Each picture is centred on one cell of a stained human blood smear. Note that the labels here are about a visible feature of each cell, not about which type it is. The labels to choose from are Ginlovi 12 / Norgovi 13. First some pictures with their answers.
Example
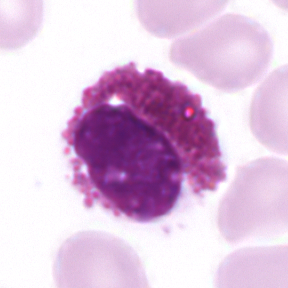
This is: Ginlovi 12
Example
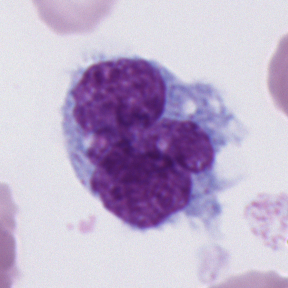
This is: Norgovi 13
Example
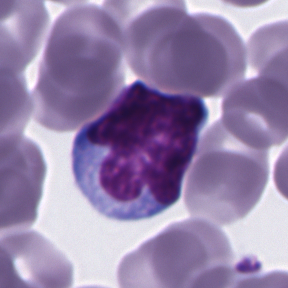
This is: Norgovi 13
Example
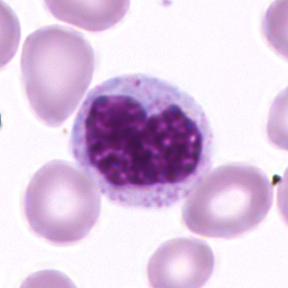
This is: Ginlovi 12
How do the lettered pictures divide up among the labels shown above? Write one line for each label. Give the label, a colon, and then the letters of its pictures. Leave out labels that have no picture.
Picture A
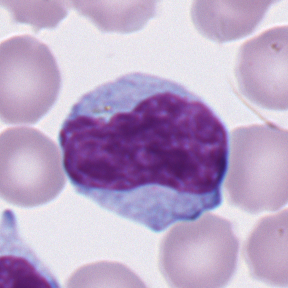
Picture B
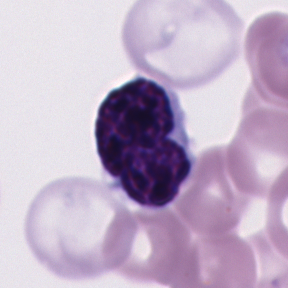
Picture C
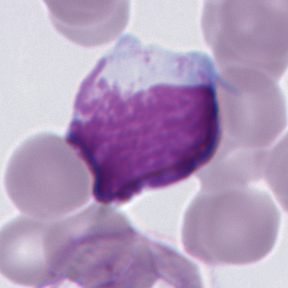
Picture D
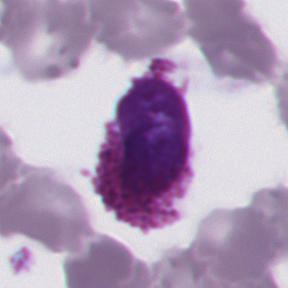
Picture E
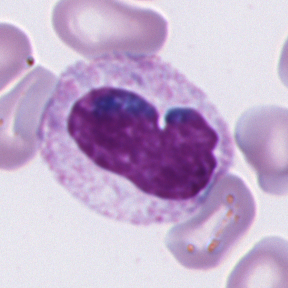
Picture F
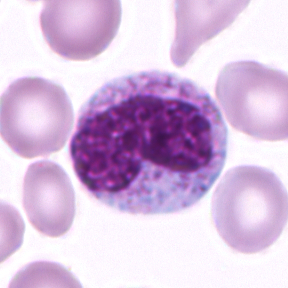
Ginlovi 12: A, C, D, E, F
Norgovi 13: B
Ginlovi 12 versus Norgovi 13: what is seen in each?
Seen in Ginlovi 12: single compact nucleus; seen in Norgovi 13: lobed nucleus.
